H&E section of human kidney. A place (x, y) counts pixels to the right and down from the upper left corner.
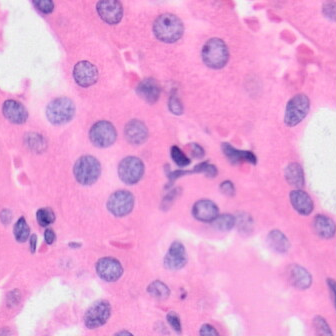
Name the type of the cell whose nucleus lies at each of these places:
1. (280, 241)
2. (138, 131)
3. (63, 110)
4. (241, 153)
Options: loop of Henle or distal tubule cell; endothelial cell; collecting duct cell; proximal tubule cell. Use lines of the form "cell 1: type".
cell 1: loop of Henle or distal tubule cell
cell 2: loop of Henle or distal tubule cell
cell 3: loop of Henle or distal tubule cell
cell 4: endothelial cell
